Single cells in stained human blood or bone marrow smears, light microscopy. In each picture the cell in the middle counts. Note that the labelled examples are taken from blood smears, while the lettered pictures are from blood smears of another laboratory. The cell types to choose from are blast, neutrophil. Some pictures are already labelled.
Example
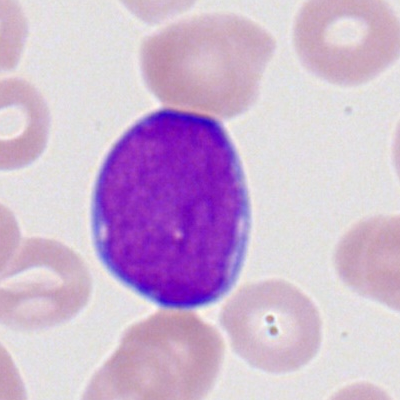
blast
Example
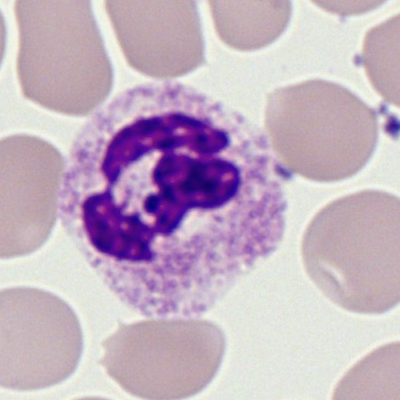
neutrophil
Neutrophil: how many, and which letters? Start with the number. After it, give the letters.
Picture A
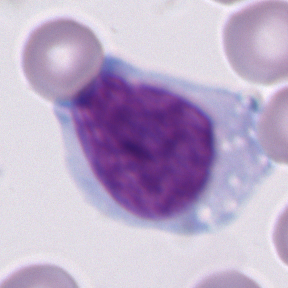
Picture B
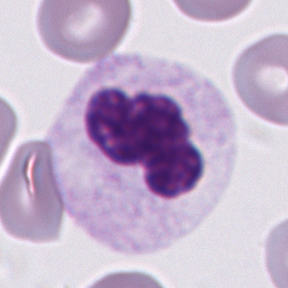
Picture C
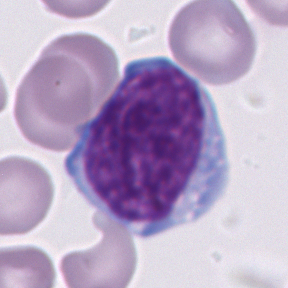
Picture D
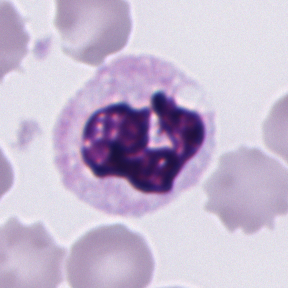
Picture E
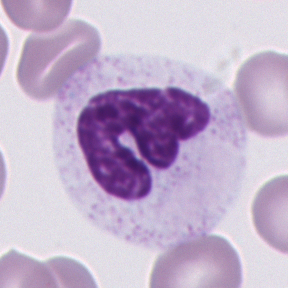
3, namely B, D, E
